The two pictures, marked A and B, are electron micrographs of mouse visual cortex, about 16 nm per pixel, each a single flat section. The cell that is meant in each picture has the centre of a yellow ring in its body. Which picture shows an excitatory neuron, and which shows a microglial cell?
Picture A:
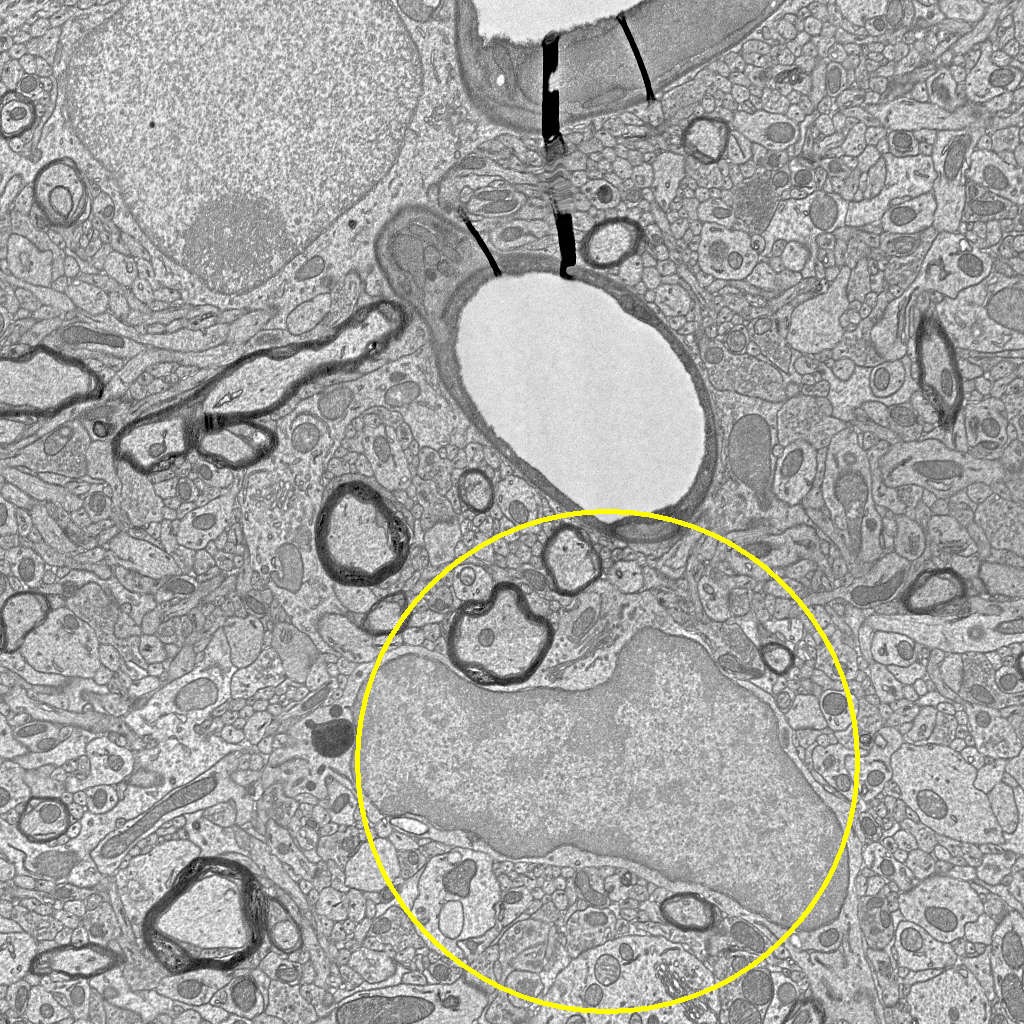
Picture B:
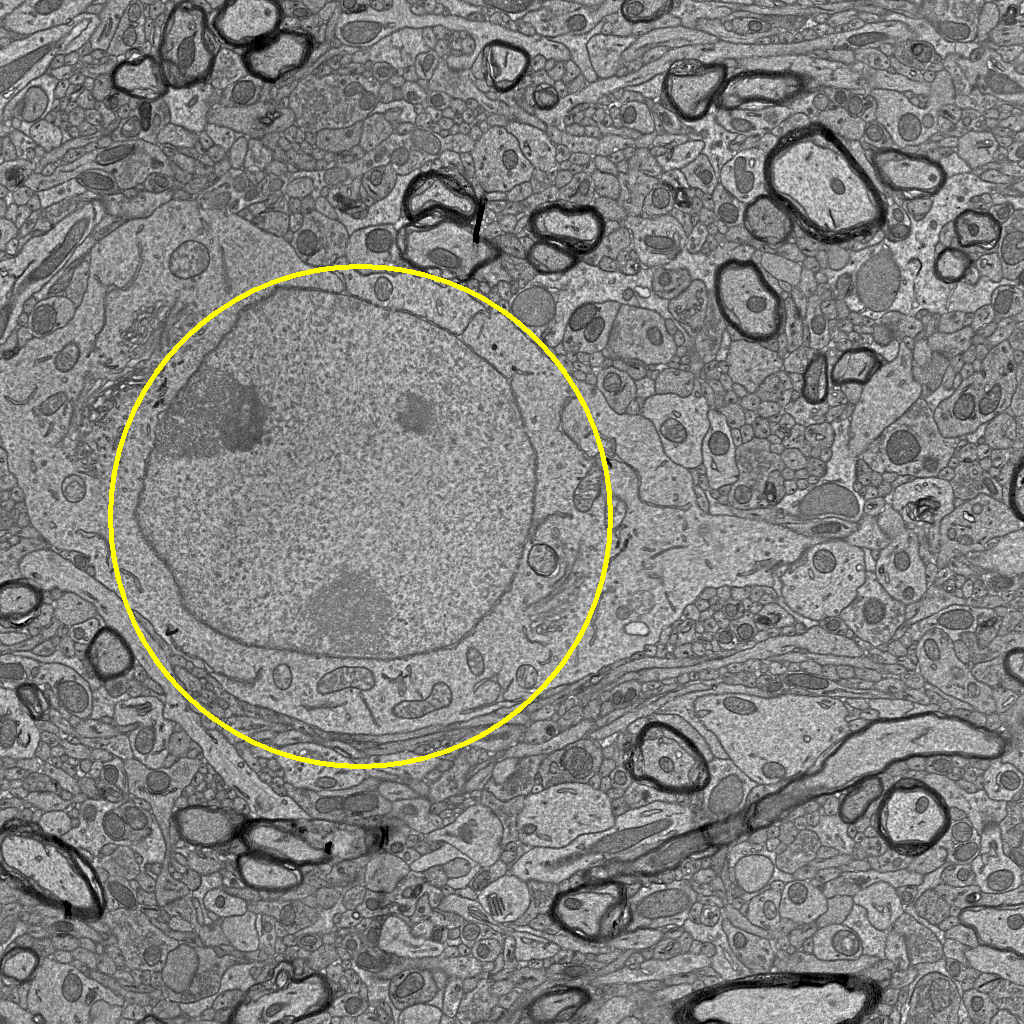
The cell in picture A is a microglial cell, and the one in picture B is an excitatory neuron.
